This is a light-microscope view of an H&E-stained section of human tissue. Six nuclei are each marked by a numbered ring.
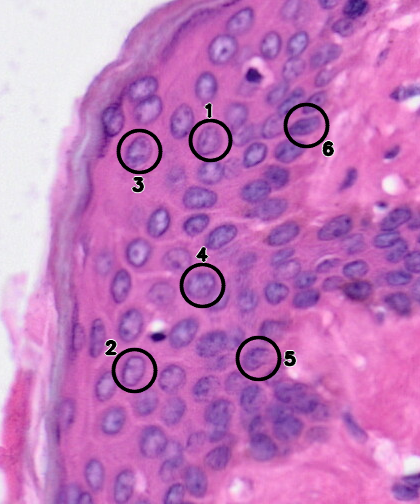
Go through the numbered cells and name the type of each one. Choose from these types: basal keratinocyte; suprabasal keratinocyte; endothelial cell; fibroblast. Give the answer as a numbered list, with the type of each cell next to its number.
1. suprabasal keratinocyte
2. suprabasal keratinocyte
3. suprabasal keratinocyte
4. suprabasal keratinocyte
5. basal keratinocyte
6. basal keratinocyte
